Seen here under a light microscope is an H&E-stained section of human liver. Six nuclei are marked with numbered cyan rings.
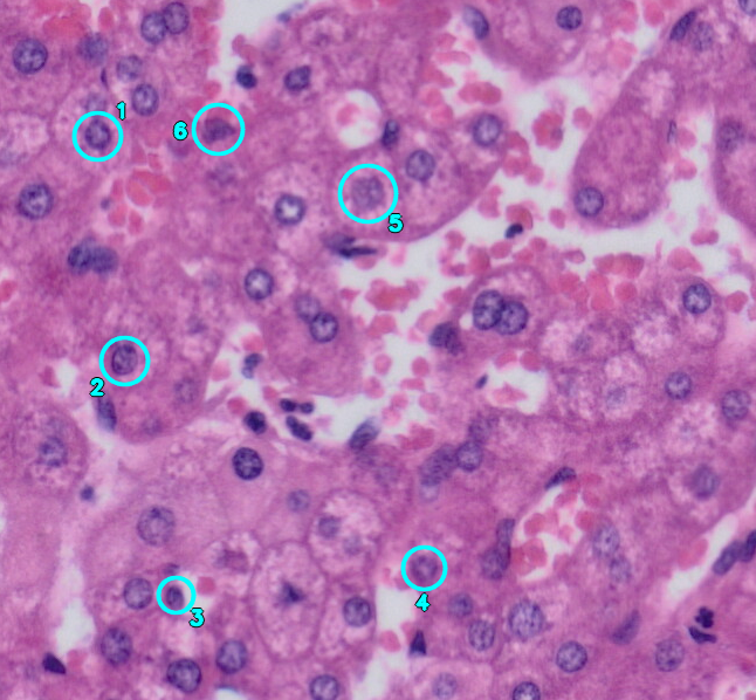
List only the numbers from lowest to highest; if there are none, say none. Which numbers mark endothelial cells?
6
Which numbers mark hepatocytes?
1, 2, 4, 5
